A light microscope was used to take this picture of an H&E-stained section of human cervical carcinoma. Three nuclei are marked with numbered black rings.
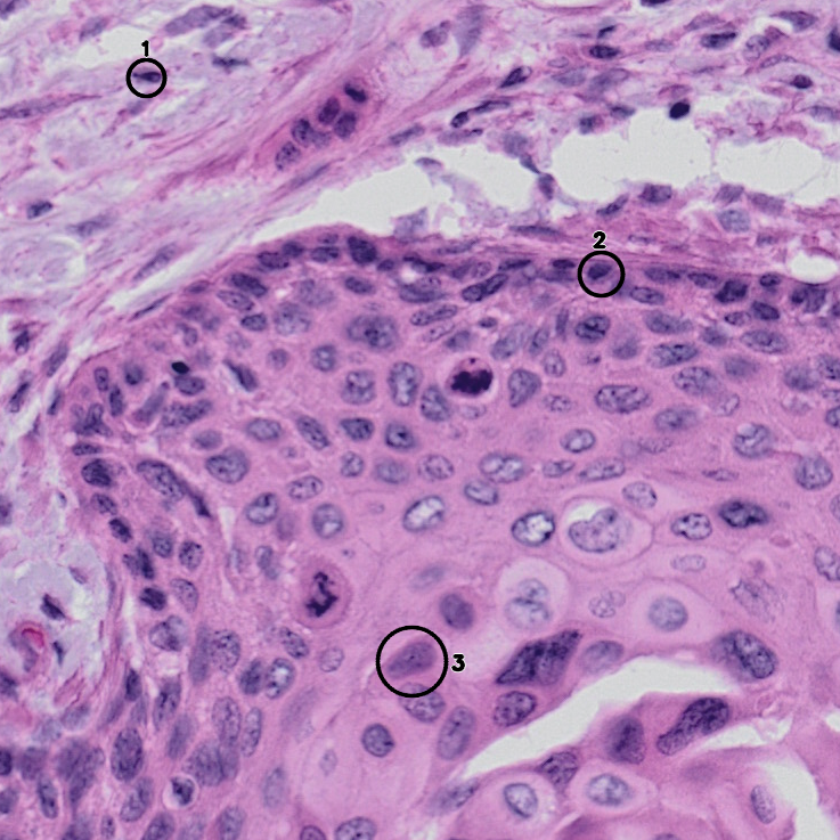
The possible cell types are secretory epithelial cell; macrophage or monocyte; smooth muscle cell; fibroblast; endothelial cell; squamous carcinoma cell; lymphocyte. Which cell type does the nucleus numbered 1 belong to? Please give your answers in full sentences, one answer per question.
The marked cell with the number 1 is recognised as a lymphocyte.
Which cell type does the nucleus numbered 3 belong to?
The correct label for cell 3 is a squamous carcinoma cell.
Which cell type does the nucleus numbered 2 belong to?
In this section, number 2 marks a squamous carcinoma cell.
